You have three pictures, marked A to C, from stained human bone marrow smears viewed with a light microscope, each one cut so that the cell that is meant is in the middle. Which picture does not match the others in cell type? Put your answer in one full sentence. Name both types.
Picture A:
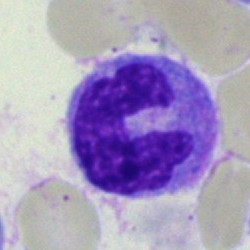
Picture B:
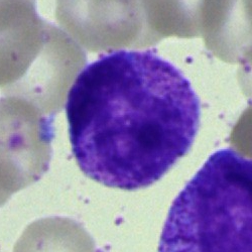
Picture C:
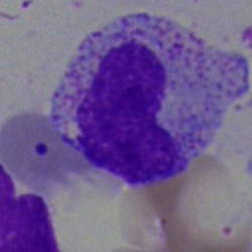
Picture A is the odd one out: it shows a monocyte, while the others show metamyelocytes.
